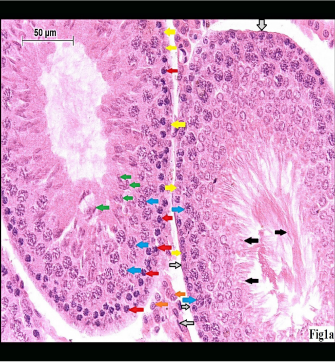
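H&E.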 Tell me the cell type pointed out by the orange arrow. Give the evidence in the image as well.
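The arrow points into the narrow space between two tubules. That points to this answer: Leydig cell.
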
